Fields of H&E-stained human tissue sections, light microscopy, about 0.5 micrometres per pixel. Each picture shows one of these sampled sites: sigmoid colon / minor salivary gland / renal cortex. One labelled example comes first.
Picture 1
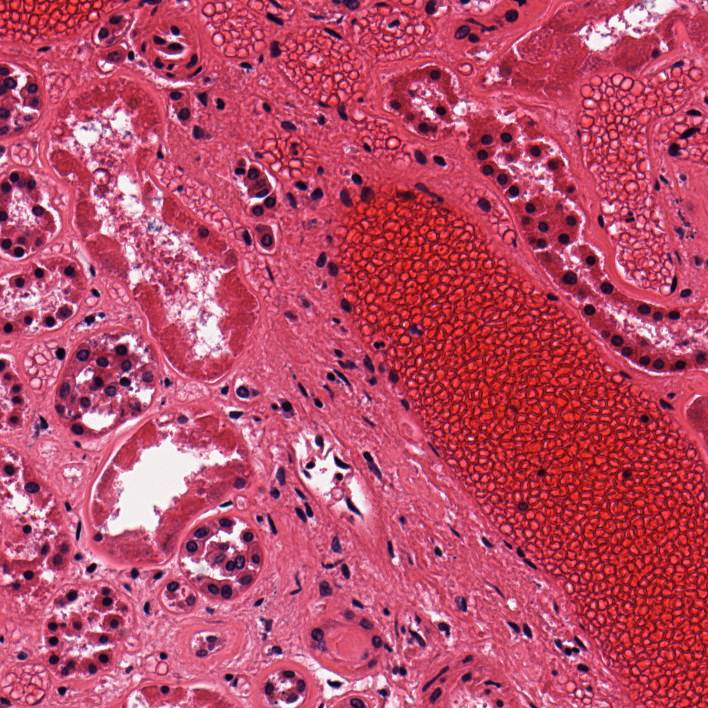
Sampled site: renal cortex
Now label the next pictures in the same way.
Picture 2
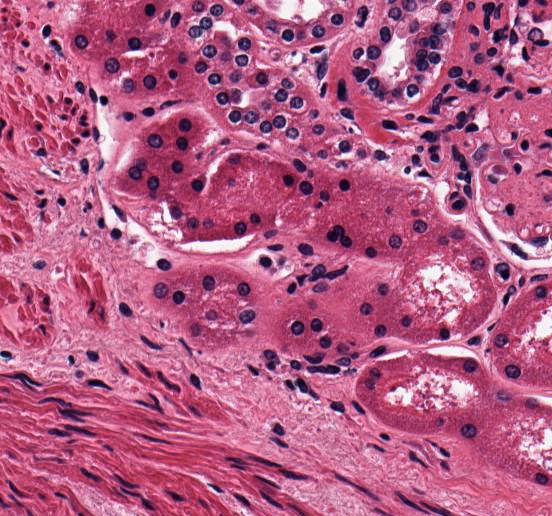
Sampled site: renal cortex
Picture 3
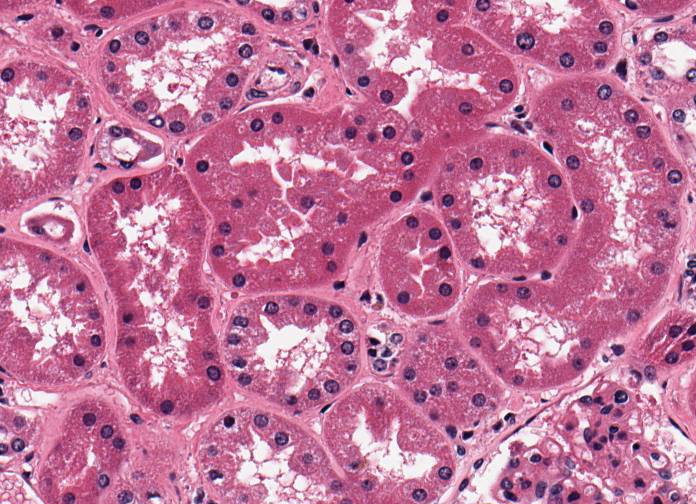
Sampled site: renal cortex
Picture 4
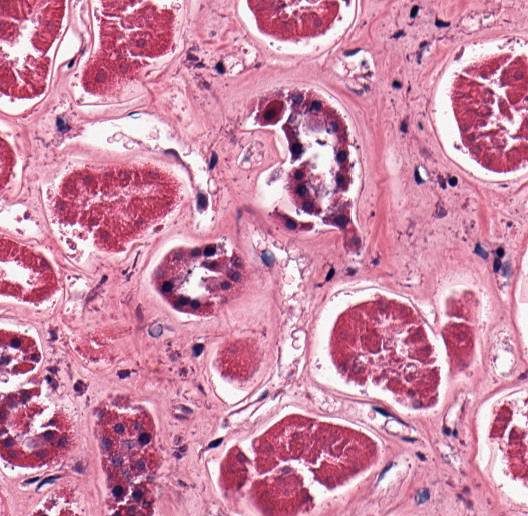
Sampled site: renal cortex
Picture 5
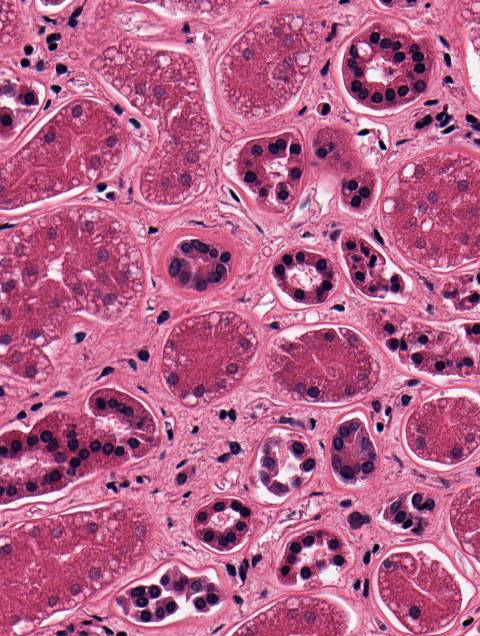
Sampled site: renal cortex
